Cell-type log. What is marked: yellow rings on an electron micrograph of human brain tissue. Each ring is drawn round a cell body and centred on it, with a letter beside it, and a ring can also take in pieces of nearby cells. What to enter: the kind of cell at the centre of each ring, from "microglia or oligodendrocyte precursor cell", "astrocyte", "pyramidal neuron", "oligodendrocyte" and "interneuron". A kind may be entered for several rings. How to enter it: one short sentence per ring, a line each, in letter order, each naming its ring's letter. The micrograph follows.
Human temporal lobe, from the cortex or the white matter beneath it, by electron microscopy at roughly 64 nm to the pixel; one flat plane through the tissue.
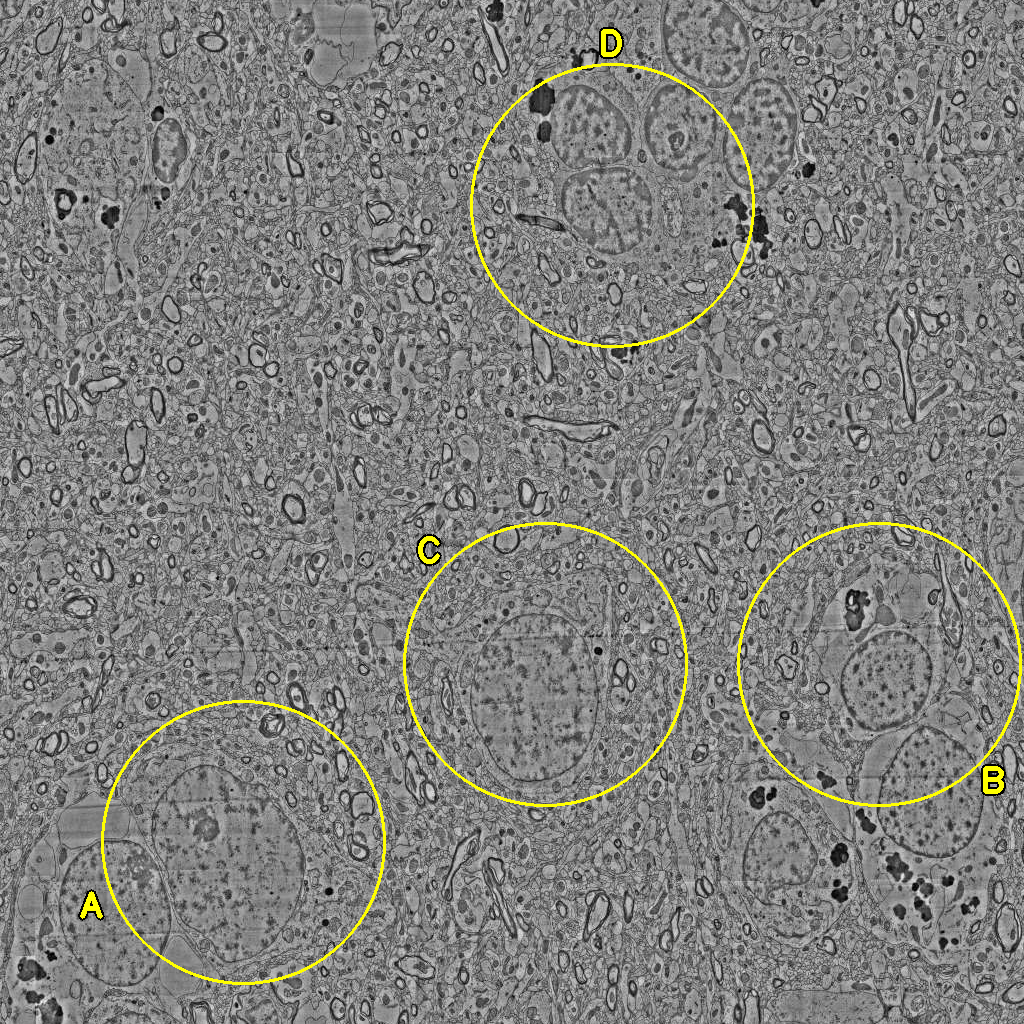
For ring A, the centre cell is a pyramidal neuron.
For ring B, the centre cell is an astrocyte.
For ring C, the centre cell is a pyramidal neuron.
For ring D, the centre cell is an oligodendrocyte.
